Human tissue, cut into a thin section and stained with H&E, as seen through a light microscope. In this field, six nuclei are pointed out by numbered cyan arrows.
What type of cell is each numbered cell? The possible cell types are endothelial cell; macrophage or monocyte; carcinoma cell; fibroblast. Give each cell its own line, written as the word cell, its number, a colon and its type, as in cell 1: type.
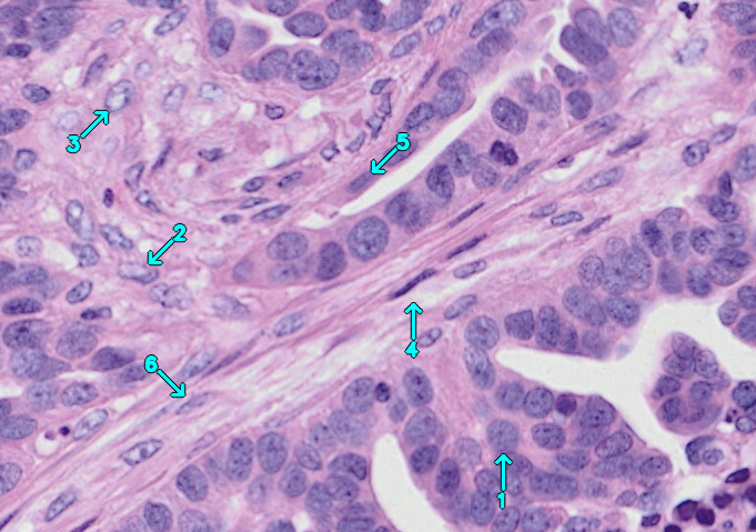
cell 1: carcinoma cell
cell 2: fibroblast
cell 3: fibroblast
cell 4: fibroblast
cell 5: carcinoma cell
cell 6: fibroblast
